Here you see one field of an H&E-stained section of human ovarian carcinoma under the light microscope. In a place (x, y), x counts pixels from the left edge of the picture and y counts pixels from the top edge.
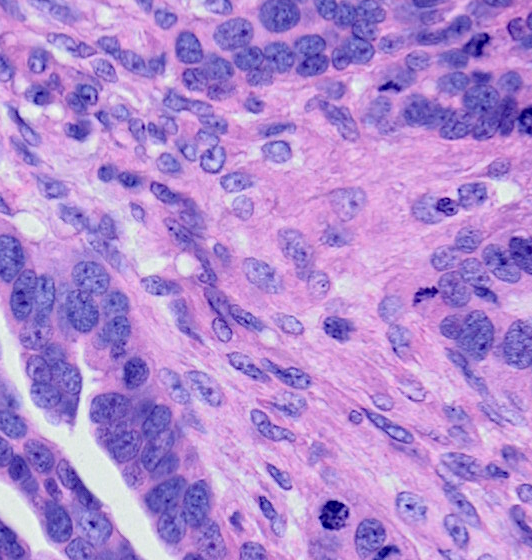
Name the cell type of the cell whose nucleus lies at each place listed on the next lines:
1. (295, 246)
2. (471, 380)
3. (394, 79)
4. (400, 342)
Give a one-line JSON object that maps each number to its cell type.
{"1": "fibroblast", "2": "fibroblast", "3": "carcinoma cell", "4": "fibroblast"}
